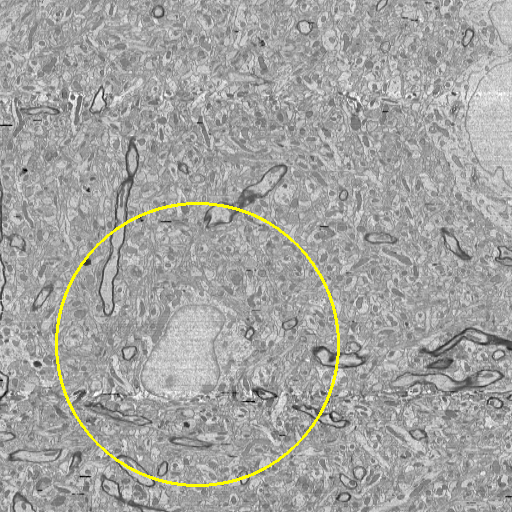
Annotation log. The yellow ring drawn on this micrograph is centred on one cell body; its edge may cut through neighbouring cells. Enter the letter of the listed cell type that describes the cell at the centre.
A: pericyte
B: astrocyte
B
